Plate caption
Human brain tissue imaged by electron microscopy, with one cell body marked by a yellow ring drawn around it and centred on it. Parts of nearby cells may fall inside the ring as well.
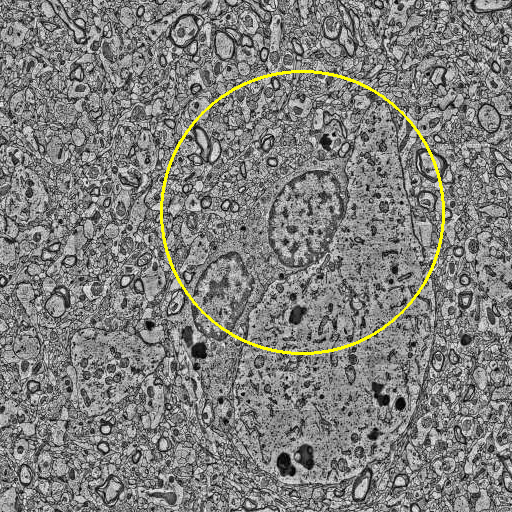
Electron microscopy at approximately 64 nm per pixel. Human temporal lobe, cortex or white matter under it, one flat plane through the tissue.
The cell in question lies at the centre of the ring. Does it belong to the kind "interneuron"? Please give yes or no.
No, it belongs to another kind.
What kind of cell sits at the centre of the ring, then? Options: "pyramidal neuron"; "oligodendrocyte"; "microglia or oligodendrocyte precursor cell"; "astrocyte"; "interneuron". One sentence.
That cell in the ring is an oligodendrocyte instead.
